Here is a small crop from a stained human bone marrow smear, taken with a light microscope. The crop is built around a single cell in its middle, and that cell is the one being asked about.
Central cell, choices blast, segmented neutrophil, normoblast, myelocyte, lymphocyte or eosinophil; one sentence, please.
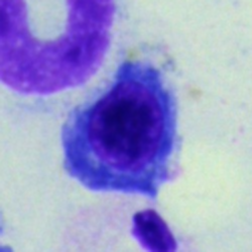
The cell occupying the middle of the crop is a normoblast.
